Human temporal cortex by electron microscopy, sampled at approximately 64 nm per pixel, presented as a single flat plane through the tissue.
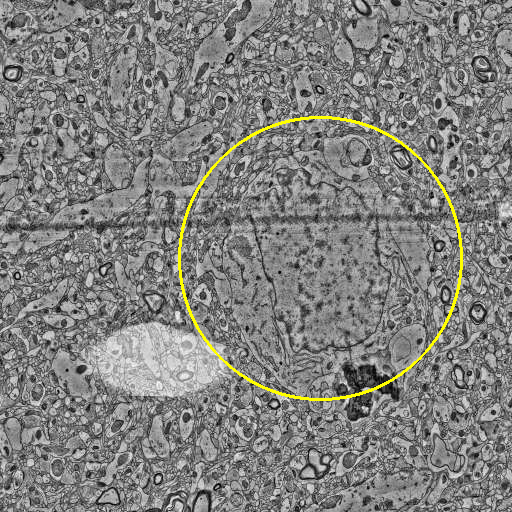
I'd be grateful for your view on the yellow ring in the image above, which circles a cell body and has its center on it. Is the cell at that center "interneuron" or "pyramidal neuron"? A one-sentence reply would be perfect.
The cell at the center of the yellow ring is an interneuron.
